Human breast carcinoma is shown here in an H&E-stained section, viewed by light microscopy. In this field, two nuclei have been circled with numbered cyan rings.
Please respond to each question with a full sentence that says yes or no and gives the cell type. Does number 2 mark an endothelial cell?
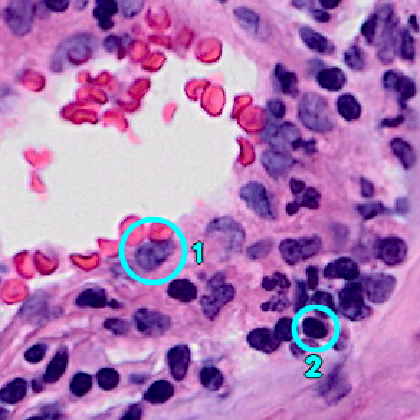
No, the cell referred to as 2 is a lymphocyte, not an endothelial cell.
